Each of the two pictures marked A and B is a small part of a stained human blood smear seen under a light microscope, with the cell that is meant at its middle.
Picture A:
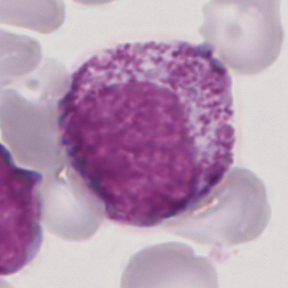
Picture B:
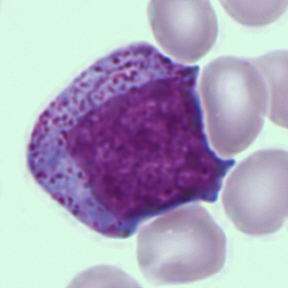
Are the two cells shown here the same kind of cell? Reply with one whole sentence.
No, they differ: the cell is a myelocyte in picture A and a promyelocyte in picture B.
